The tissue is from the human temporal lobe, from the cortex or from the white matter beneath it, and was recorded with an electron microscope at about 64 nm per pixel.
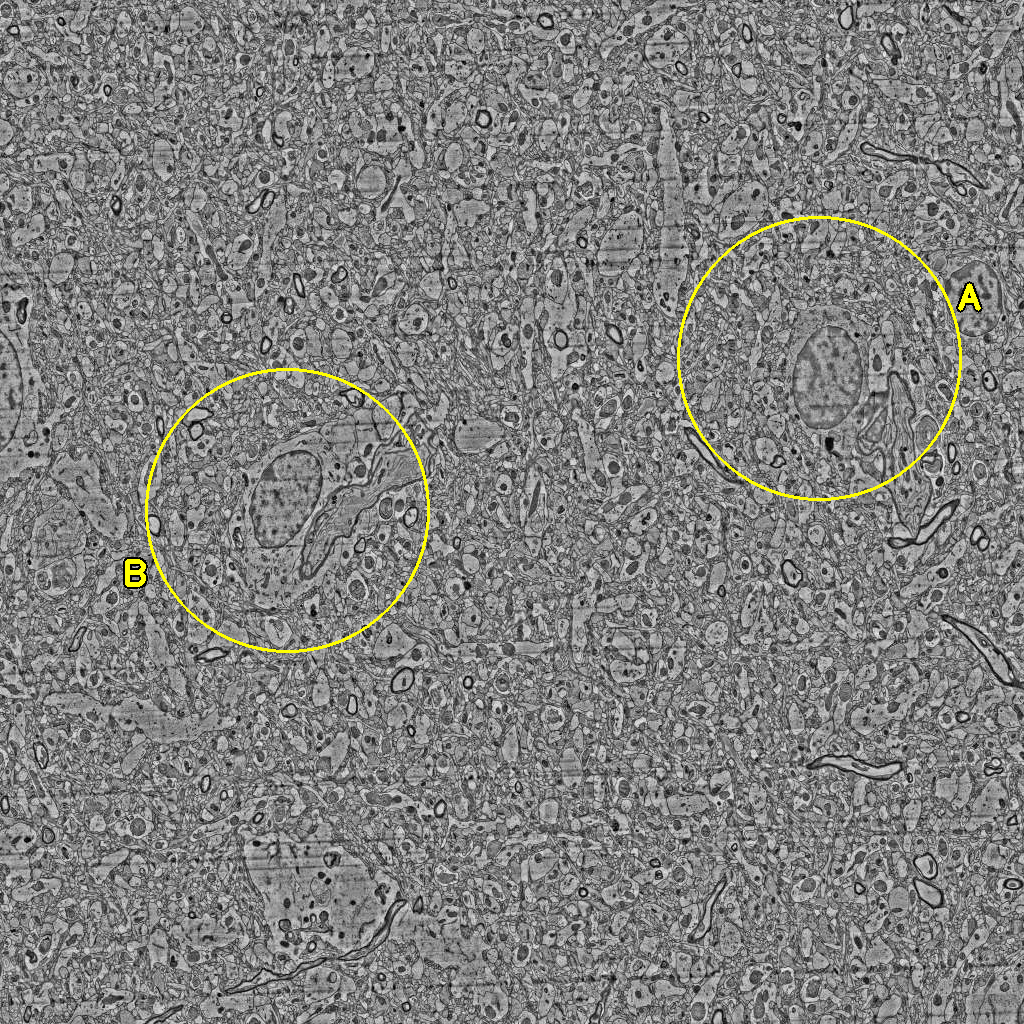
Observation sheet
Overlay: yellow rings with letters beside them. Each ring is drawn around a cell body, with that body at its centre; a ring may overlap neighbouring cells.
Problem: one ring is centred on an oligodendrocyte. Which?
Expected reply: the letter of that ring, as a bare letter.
A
